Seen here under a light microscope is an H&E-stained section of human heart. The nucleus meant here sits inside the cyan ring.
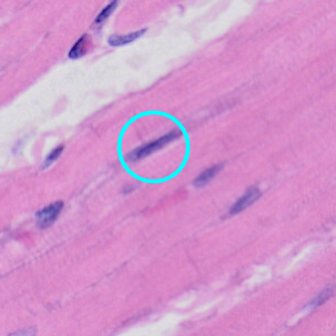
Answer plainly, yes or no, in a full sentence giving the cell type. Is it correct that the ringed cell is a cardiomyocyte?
No, scored properly, the ringed cell is an endothelial cell rather than a cardiomyocyte.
